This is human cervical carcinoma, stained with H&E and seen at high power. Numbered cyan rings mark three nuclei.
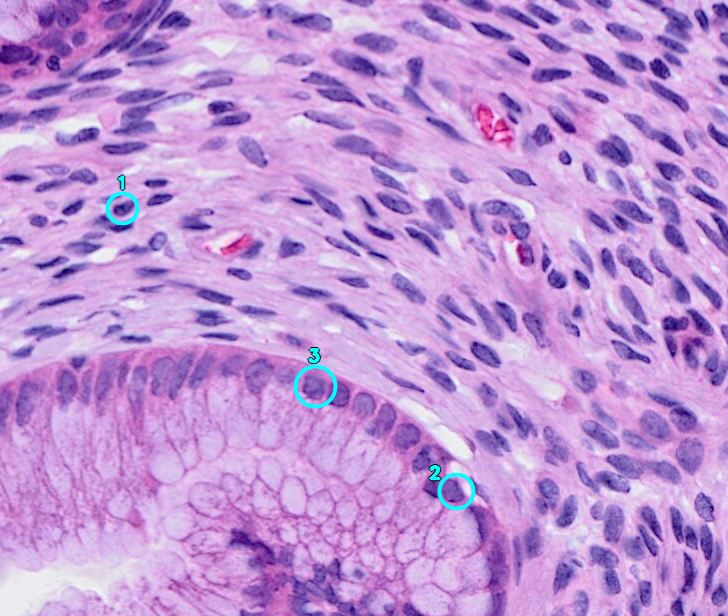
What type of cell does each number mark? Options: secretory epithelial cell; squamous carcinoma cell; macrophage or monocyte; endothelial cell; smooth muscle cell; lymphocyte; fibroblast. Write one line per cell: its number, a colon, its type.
1: fibroblast
2: secretory epithelial cell
3: secretory epithelial cell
